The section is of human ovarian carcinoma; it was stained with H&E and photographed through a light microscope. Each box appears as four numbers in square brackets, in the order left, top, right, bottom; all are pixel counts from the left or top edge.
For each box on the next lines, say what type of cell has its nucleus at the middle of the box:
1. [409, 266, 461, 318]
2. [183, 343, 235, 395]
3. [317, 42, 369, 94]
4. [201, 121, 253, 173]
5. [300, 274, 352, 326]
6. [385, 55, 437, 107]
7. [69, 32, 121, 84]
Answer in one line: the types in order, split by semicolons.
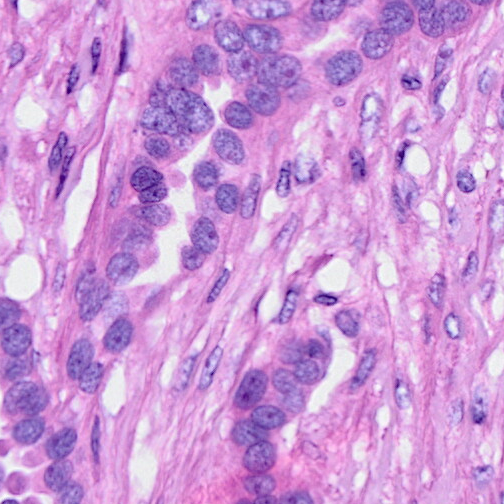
fibroblast; fibroblast; carcinoma cell; carcinoma cell; macrophage or monocyte; macrophage or monocyte; fibroblast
